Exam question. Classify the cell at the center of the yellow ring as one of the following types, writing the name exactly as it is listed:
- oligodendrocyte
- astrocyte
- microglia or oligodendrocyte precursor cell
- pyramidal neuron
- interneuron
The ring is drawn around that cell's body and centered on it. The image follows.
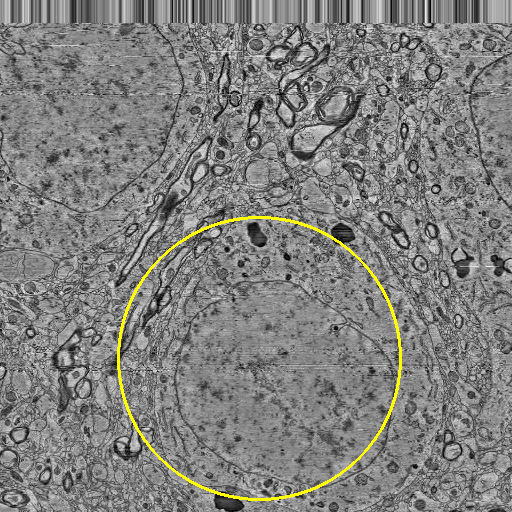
pyramidal neuron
